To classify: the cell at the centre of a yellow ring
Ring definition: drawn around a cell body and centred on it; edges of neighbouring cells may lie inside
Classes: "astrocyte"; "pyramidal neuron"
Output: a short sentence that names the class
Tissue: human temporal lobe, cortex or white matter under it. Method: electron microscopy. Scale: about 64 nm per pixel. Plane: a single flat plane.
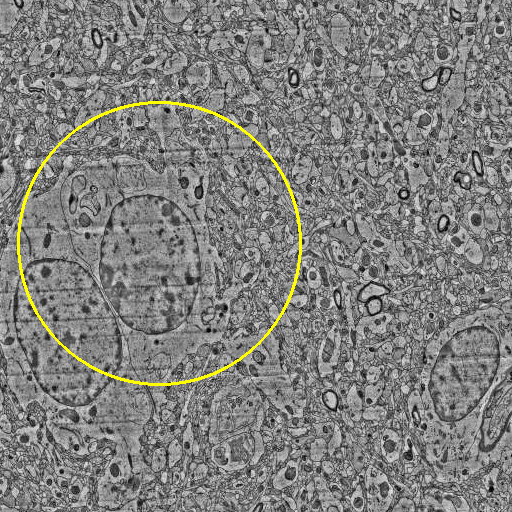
The ringed cell is an astrocyte.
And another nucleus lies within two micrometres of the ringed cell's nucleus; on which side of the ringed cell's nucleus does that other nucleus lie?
The second nucleus sits to the lower left of it.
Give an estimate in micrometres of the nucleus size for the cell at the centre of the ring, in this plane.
The nucleus has a long axis of about 9 micrometres and a short axis of about 6 micrometres in this plane.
